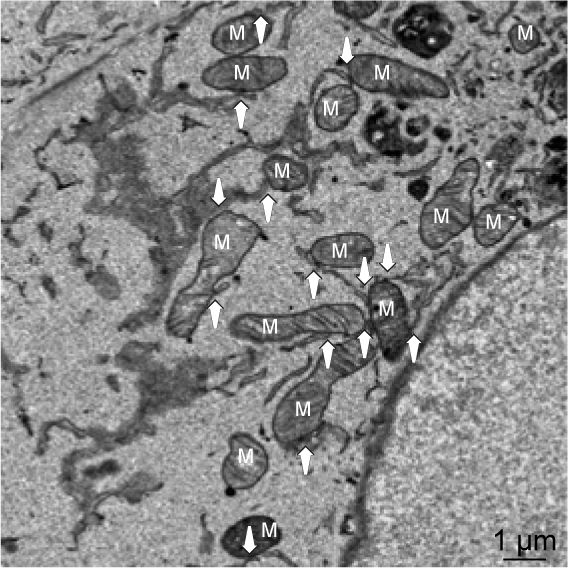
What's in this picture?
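The field is crowded with oval to elongated organelles with inner folded membranes, many bordered by thin membrane tubules, with a nucleus edge at the lower right. White arrows sit at many spots where the tubules meet the organelles.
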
